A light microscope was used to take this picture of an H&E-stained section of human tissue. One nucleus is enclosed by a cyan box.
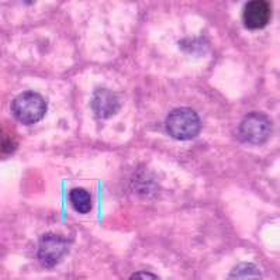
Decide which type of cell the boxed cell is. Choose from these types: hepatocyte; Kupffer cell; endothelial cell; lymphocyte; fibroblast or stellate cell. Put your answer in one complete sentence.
Among the cells in this section, the boxed cell is a lymphocyte.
